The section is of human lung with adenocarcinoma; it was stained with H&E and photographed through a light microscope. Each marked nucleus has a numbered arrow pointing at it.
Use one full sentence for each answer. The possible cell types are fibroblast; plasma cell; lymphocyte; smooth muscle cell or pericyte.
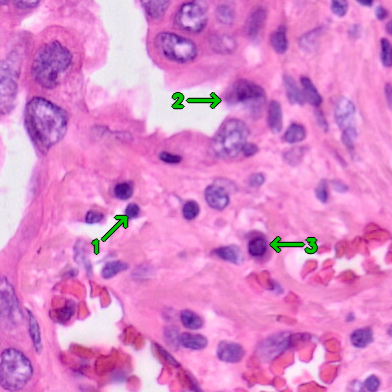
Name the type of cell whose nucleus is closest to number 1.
Closest to number 1 lies the nucleus of a plasma cell.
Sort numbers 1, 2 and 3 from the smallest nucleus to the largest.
Smallest first, the nuclei run 1, 3, 2.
